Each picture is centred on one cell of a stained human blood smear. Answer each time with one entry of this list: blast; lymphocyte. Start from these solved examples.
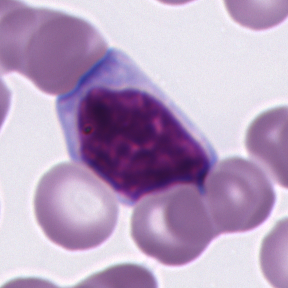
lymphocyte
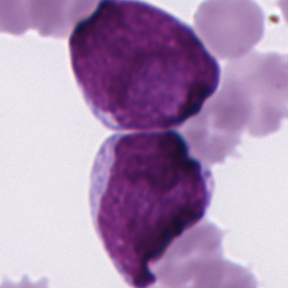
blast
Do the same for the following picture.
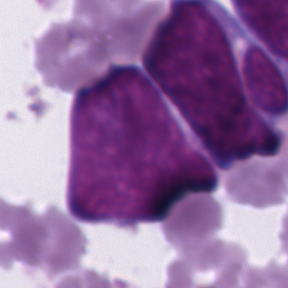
blast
